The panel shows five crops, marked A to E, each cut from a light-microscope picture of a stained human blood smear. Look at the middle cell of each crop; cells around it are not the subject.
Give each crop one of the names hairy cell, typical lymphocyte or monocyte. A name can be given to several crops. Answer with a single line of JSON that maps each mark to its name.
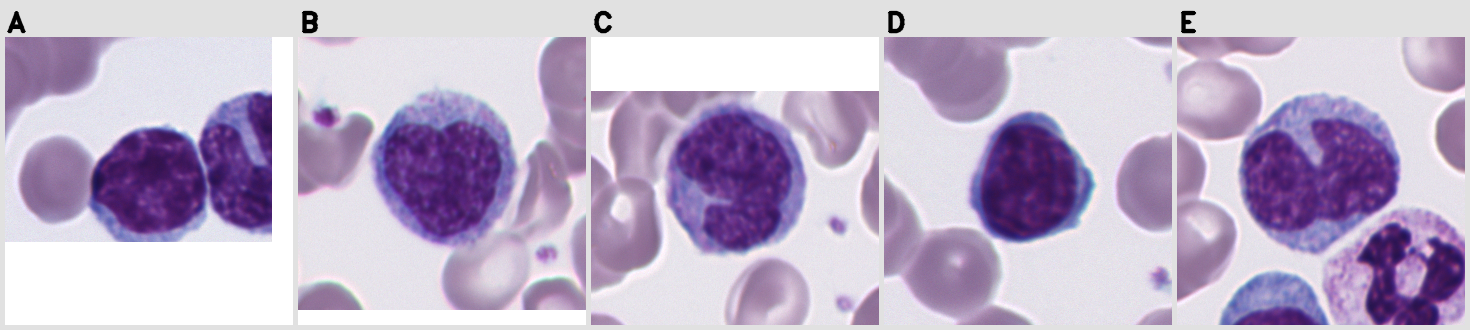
{"A": "typical lymphocyte", "B": "monocyte", "C": "monocyte", "D": "typical lymphocyte", "E": "monocyte"}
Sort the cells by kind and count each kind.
monocyte: 3
typical lymphocyte: 2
